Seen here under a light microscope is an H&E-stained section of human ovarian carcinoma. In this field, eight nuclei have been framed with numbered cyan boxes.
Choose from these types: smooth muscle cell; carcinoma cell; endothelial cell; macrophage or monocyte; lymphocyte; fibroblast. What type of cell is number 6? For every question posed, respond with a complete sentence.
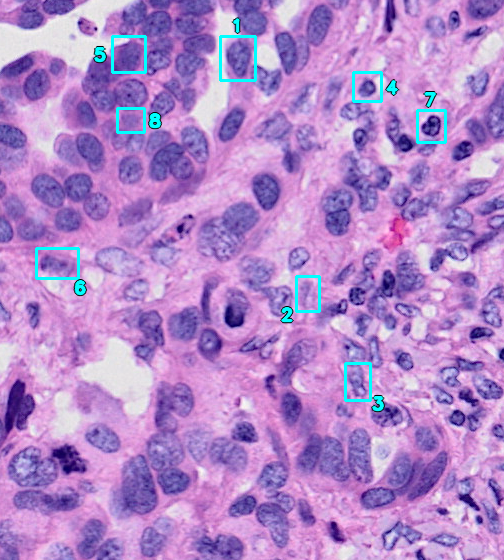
Numbered cell 6 is a fibroblast in this tissue section.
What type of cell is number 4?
The cell that is numbered 4 is a lymphocyte.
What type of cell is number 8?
Cell 8, among those numbered, is a carcinoma cell.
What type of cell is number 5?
The identity of cell 5 is that of a carcinoma cell.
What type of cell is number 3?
The nucleus marked 3 is the nucleus of a fibroblast.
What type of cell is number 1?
Of the numbered cells, the one labelled 1 is a carcinoma cell.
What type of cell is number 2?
Among the marked cells, number 2 is a fibroblast.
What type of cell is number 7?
In this section, number 7 marks a lymphocyte.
